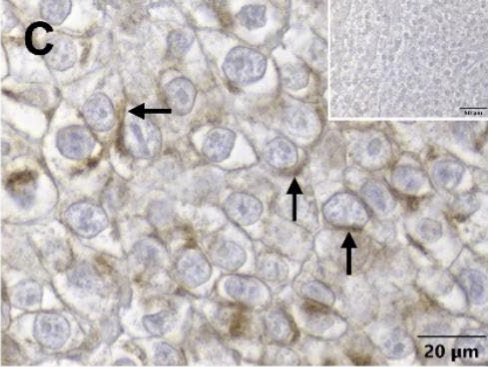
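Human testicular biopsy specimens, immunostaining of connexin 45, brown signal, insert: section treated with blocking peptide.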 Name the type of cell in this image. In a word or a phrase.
Seminoma cells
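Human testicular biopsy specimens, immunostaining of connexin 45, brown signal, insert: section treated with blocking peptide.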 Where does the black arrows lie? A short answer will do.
Boundaries to adjacent cells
